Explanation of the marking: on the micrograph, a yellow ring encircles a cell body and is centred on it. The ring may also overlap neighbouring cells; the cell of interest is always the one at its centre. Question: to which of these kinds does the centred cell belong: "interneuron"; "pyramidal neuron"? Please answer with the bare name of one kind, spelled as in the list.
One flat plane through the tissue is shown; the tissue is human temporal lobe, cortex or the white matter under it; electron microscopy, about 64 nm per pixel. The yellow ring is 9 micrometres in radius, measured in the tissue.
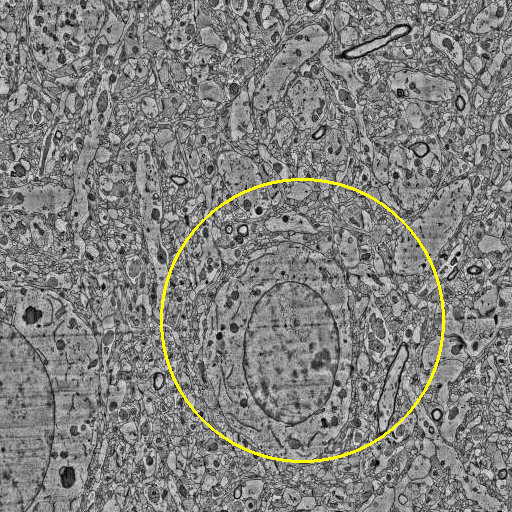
pyramidal neuron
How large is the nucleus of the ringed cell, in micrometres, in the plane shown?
About 9 by 6 micrometers for the nucleus, in this plane.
